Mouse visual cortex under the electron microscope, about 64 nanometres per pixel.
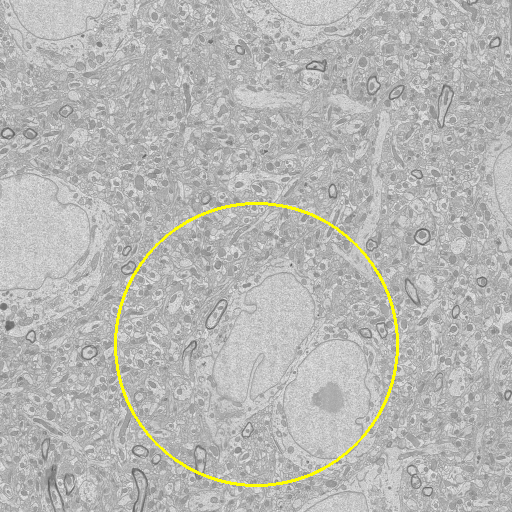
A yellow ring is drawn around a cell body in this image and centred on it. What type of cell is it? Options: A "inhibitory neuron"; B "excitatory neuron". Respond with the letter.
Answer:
A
